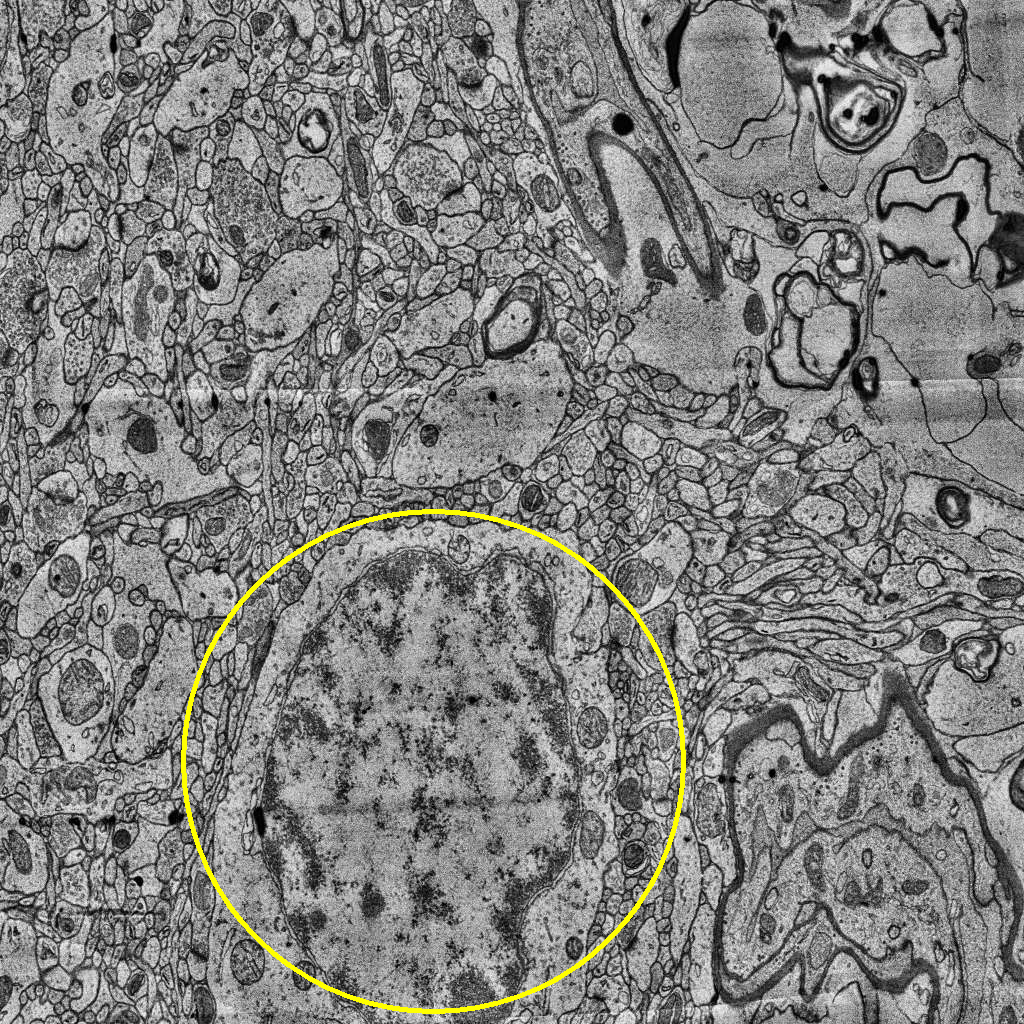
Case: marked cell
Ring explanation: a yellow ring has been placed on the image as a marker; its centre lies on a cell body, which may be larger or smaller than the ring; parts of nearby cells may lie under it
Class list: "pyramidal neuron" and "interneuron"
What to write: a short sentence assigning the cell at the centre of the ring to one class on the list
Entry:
The cell at the ring's centre is an interneuron.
